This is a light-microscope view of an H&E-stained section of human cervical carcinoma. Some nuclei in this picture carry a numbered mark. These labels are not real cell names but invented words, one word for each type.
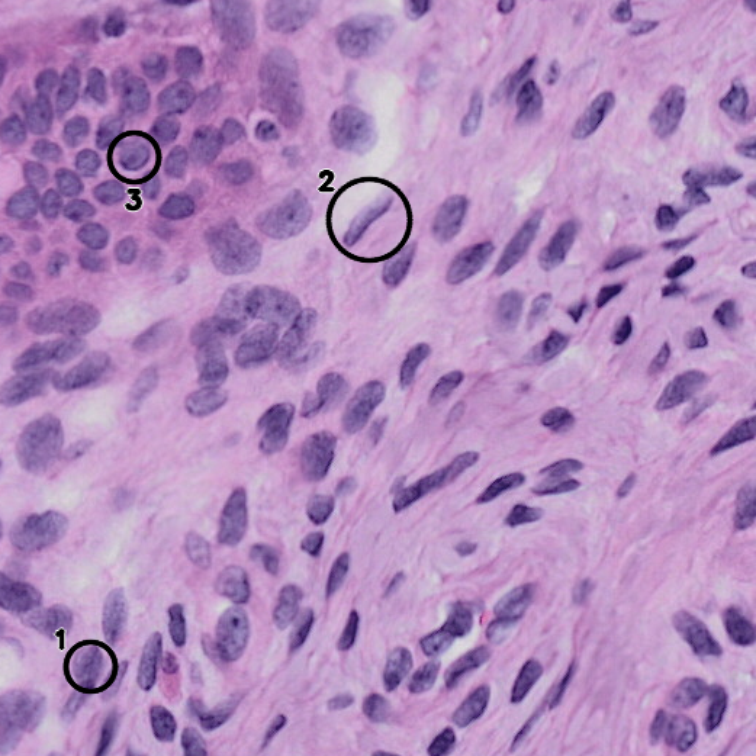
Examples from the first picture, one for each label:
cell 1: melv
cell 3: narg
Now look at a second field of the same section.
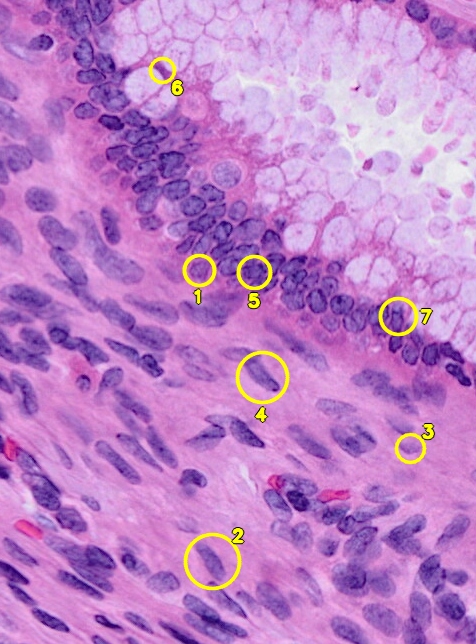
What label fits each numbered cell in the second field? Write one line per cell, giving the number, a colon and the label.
1: narg
2: melv
3: melv
4: melv
5: narg
6: narg
7: narg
